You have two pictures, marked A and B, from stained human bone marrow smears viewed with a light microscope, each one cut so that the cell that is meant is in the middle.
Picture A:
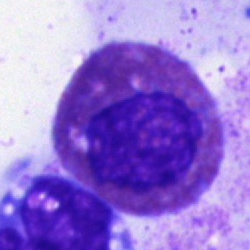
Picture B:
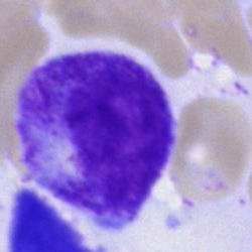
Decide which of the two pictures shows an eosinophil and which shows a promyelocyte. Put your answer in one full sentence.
Picture B shows a promyelocyte, while picture A shows an eosinophil.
